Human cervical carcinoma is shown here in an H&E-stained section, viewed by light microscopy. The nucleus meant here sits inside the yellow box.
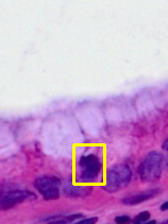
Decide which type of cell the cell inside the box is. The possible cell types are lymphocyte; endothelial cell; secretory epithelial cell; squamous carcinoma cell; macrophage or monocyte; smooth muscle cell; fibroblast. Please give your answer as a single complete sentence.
Recorded by type, the cell inside the box is a secretory epithelial cell.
